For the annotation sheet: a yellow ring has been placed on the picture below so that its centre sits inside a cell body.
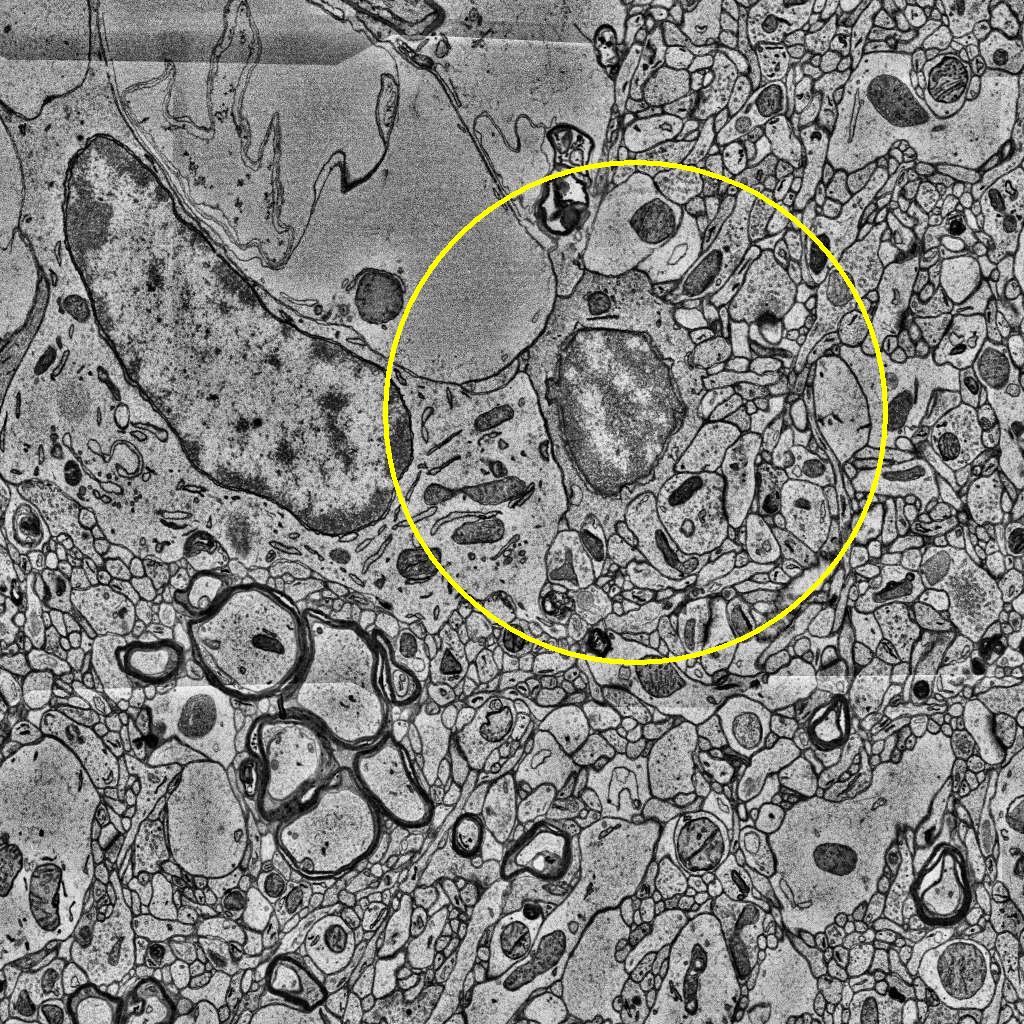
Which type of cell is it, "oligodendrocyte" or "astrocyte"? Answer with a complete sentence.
The cell at the ring's centre is an oligodendrocyte.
